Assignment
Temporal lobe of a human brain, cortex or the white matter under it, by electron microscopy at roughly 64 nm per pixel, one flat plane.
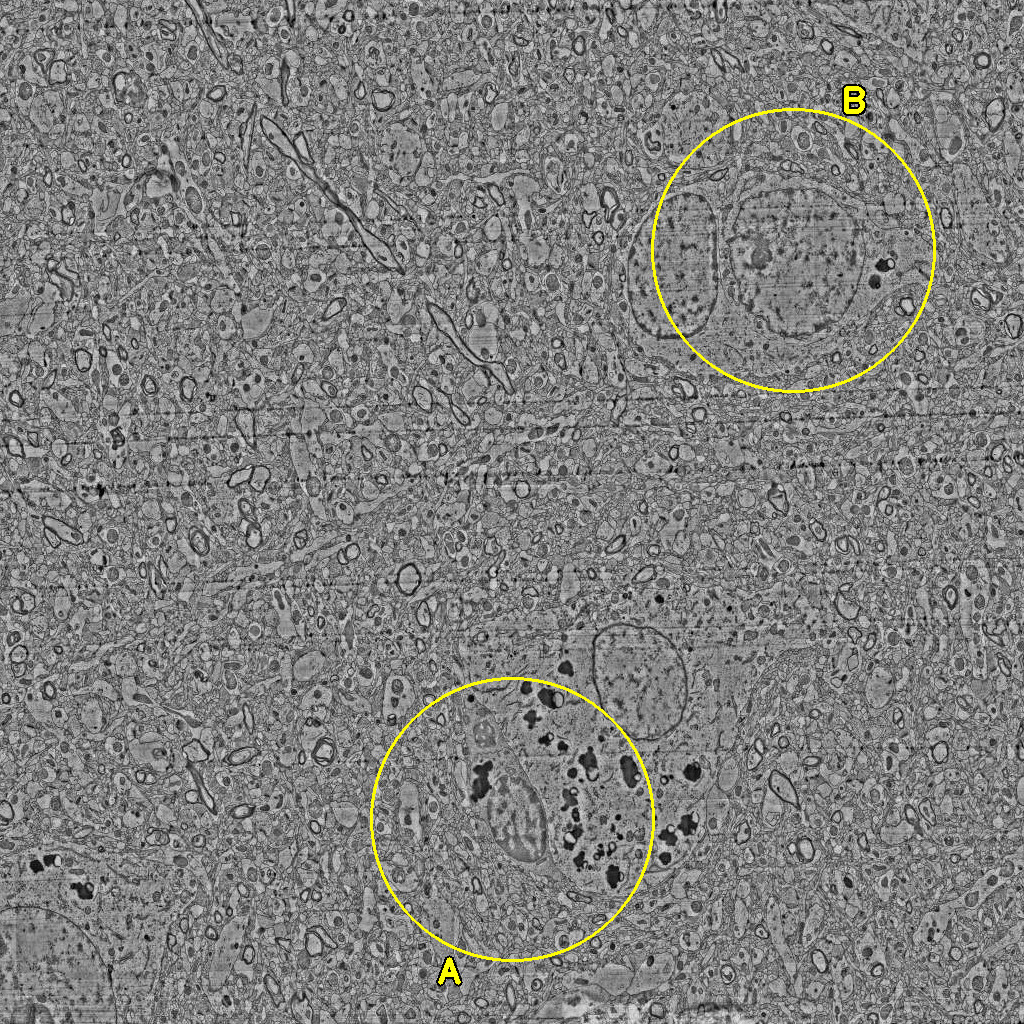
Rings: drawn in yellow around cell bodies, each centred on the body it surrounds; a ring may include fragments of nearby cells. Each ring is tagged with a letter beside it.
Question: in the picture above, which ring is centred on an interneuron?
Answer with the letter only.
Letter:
B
